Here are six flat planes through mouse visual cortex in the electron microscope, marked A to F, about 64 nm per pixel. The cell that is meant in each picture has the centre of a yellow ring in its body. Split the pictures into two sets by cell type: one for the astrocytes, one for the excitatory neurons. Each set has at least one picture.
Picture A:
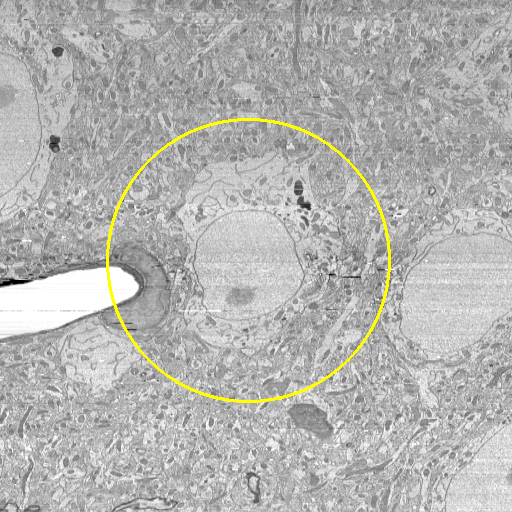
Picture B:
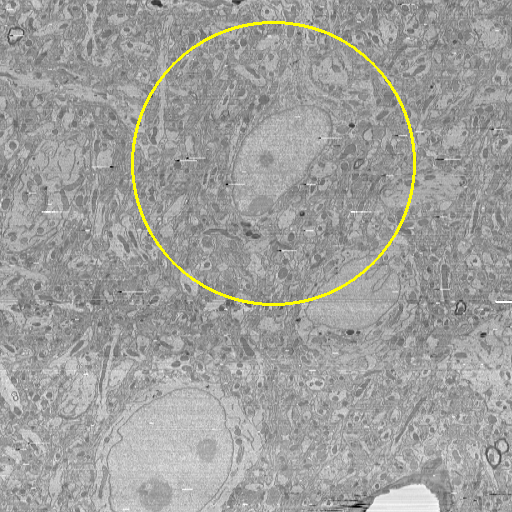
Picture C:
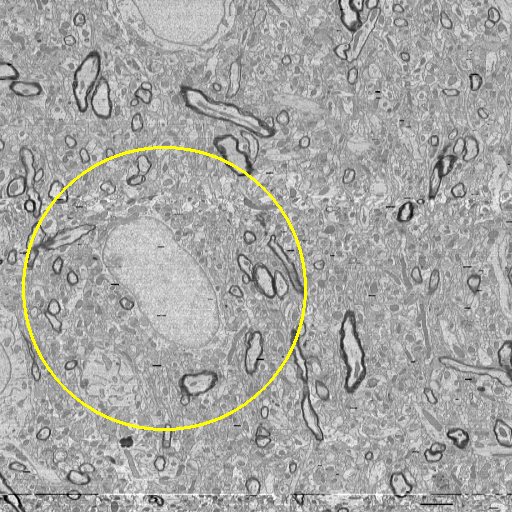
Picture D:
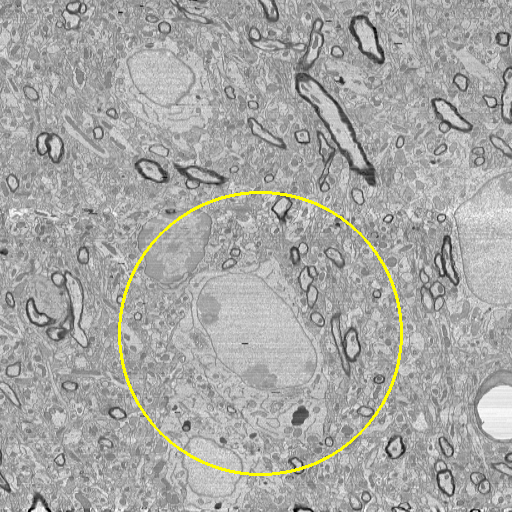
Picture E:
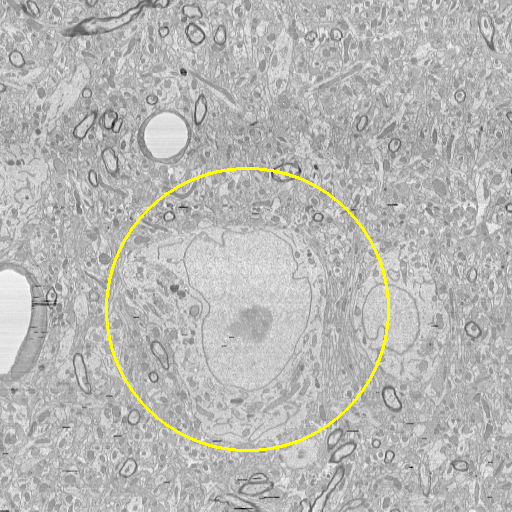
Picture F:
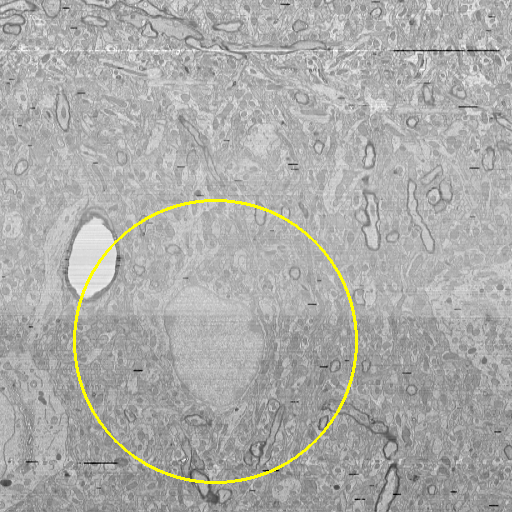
Pictures B, C and F show astrocytes, while pictures A, D and E show excitatory neurons.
